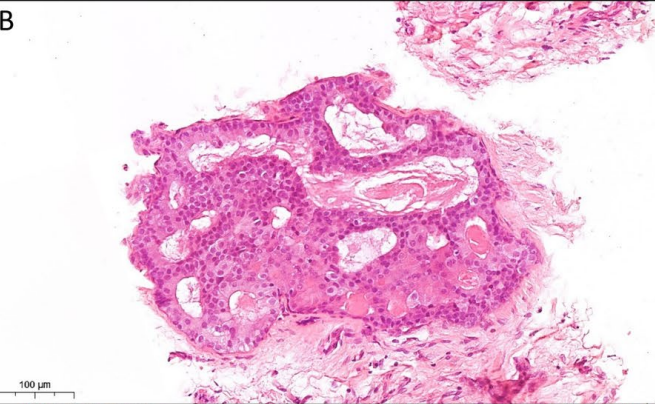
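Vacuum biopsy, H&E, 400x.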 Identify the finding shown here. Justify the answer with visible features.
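A duct is filled by a proliferation of uniform epithelial cells. The cells form several rounded, punched-out secondary lumina. Some lumina contain pink secretion. That points to this answer: atypical ductal hyperplasia.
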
